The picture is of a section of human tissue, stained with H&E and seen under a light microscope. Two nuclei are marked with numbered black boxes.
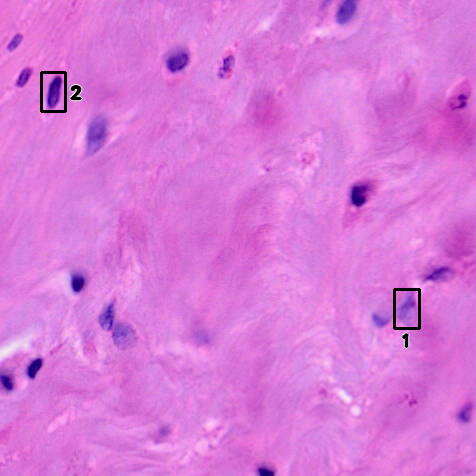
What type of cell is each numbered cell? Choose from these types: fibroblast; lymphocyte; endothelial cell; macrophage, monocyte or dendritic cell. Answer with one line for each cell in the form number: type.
1: fibroblast
2: lymphocyte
